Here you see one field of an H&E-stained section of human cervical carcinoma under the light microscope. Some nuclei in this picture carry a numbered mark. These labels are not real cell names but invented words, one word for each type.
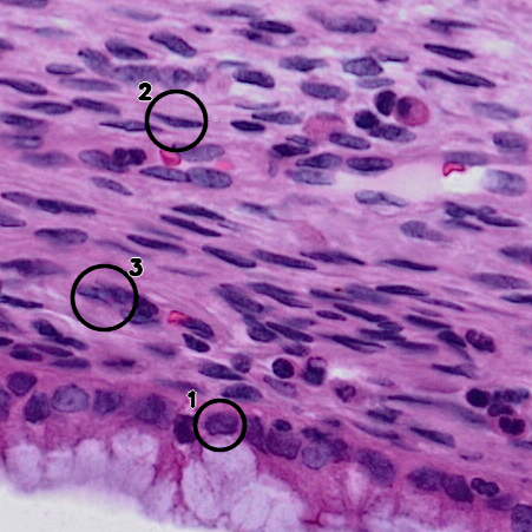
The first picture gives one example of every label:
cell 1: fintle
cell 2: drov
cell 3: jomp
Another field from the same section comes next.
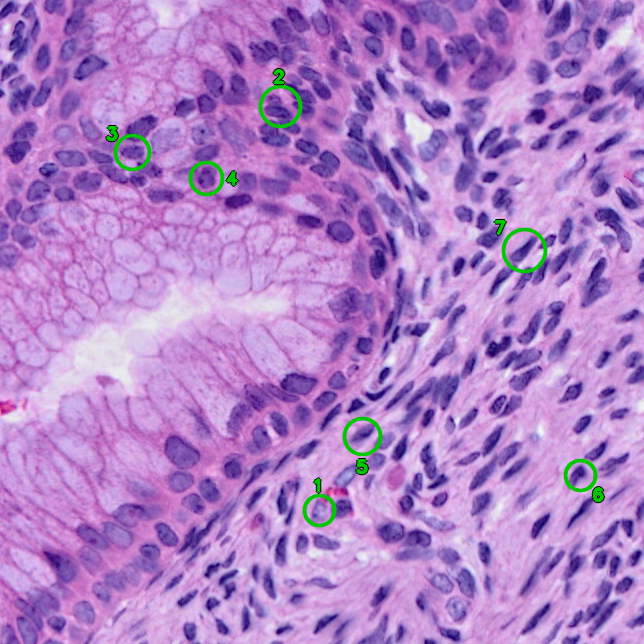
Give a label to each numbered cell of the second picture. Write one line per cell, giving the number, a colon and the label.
1: jomp
2: fintle
3: fintle
4: fintle
5: drov
6: drov
7: drov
